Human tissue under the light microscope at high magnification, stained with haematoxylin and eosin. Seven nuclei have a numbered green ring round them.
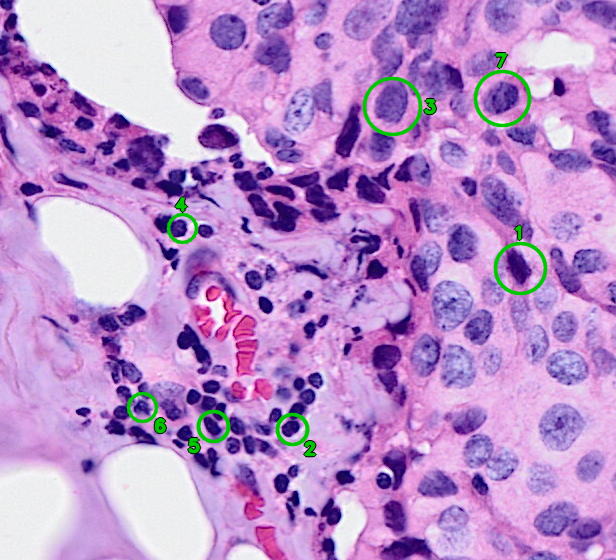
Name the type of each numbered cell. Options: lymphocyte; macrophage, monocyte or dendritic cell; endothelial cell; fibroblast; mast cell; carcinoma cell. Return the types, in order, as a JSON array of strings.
["carcinoma cell", "lymphocyte", "carcinoma cell", "lymphocyte", "lymphocyte", "lymphocyte", "carcinoma cell"]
